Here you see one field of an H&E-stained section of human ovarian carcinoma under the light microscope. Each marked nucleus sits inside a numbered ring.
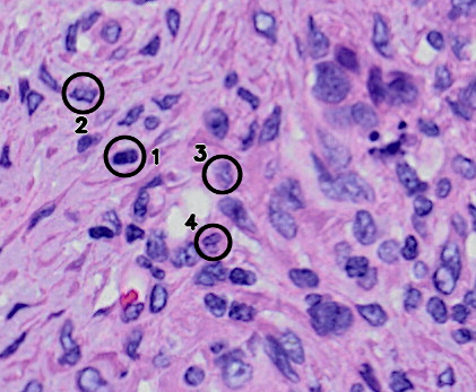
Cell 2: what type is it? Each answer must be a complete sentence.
The identity of cell 2 is that of a fibroblast.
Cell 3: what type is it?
That cell with number 3 is a fibroblast.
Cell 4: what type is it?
Among the marked nuclei, number 4 belongs to an endothelial cell.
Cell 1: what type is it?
The cell marked with number 1 is a lymphocyte.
